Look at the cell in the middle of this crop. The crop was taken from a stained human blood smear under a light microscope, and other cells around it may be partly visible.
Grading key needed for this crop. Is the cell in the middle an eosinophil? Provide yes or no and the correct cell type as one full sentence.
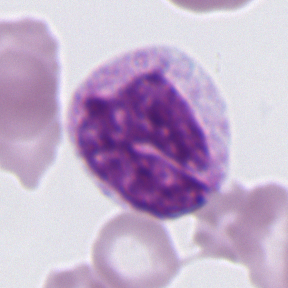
No, the central cell here is a neutrophil; calling it an eosinophil is not right.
